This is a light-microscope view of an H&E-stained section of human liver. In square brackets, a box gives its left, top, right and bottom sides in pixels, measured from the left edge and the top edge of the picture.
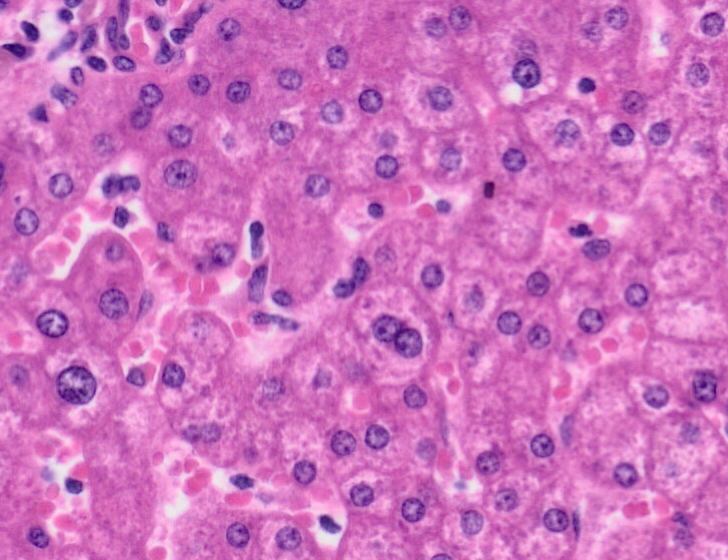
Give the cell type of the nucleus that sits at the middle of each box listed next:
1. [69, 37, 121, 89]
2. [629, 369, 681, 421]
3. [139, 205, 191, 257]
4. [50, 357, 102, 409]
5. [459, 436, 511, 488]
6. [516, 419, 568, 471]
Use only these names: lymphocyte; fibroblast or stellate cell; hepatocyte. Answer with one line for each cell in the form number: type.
1: lymphocyte
2: hepatocyte
3: fibroblast or stellate cell
4: hepatocyte
5: hepatocyte
6: hepatocyte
